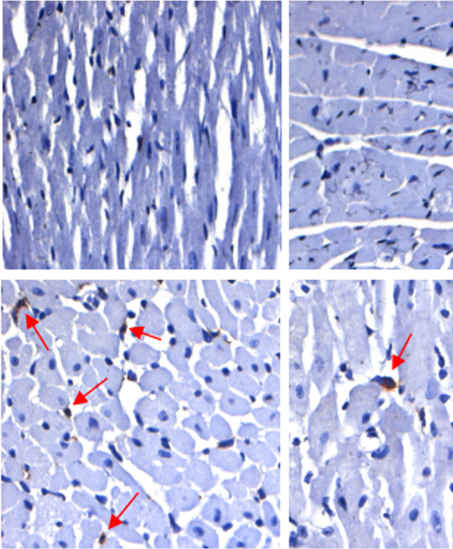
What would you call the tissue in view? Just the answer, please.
Heart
